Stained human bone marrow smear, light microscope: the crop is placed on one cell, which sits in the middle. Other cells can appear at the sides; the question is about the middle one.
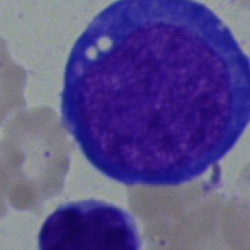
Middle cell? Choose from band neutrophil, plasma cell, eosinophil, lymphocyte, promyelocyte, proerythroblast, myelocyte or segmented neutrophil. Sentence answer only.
By type, the central cell of the crop is a proerythroblast.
